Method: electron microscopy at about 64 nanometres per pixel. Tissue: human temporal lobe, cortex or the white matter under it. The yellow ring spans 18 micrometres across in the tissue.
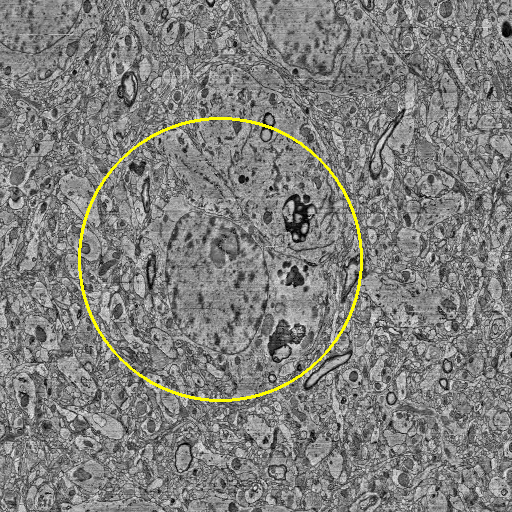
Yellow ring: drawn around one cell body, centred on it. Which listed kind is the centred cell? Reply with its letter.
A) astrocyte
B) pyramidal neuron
A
